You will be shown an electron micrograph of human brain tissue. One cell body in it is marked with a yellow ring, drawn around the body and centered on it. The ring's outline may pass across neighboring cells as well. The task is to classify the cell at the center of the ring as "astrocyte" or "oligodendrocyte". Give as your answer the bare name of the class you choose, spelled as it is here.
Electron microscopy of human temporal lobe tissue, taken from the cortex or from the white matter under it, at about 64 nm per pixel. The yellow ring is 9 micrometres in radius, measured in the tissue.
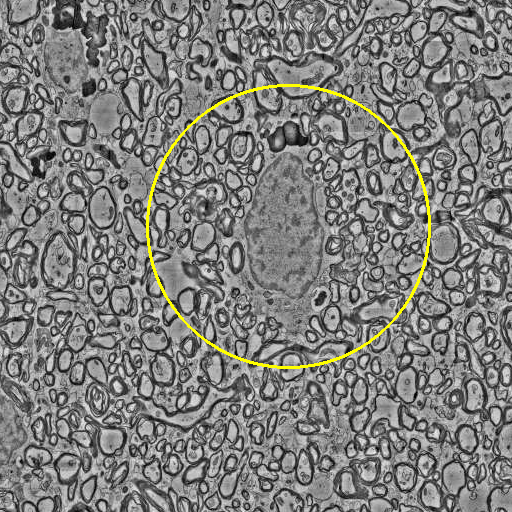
oligodendrocyte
